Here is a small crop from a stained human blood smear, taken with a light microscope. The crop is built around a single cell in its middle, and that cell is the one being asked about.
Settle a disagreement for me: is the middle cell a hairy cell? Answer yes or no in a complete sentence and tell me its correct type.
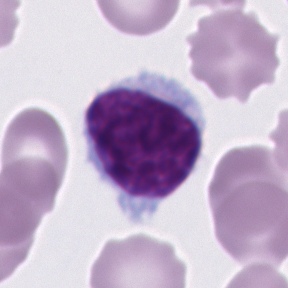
Yes, what sits in the centre of the crop is a hairy cell.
